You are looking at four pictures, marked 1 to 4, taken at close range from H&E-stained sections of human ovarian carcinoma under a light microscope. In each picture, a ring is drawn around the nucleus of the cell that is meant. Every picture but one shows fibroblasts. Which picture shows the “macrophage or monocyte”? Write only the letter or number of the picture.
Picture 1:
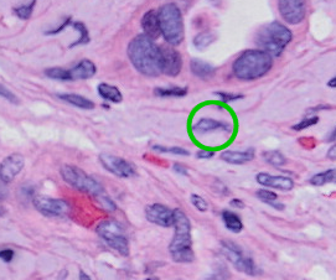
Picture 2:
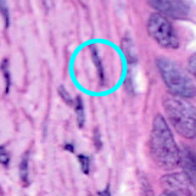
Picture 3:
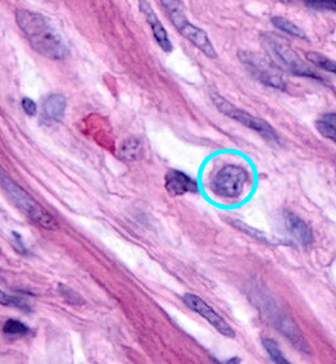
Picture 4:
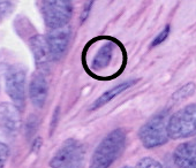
3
